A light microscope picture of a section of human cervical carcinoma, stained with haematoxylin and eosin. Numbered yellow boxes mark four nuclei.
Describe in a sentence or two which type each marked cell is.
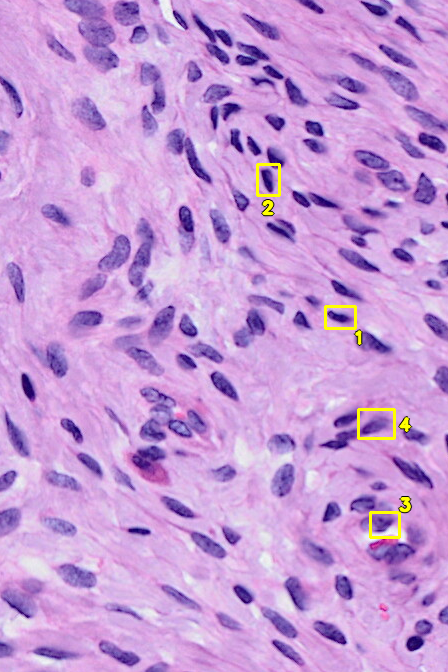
Cell 1 is a fibroblast, cell 2 is a fibroblast, cell 3 is an endothelial cell and cell 4 is a fibroblast.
